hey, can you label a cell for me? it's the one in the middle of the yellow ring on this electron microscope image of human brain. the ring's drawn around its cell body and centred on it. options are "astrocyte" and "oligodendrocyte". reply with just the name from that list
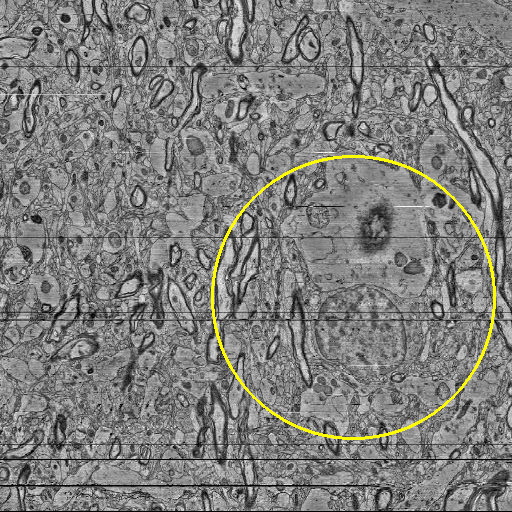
oligodendrocyte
